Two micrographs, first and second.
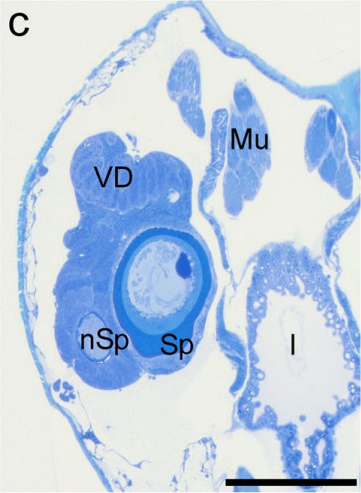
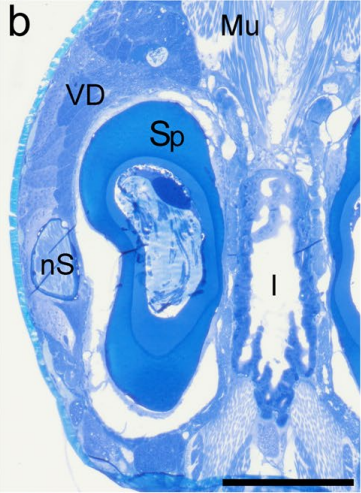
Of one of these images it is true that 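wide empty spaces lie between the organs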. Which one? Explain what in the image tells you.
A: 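First image: organs lie separated by large clear spaces inside the body wall. Second image: the section is filled with tightly packed tissue with little empty space.
Answer: the first image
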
